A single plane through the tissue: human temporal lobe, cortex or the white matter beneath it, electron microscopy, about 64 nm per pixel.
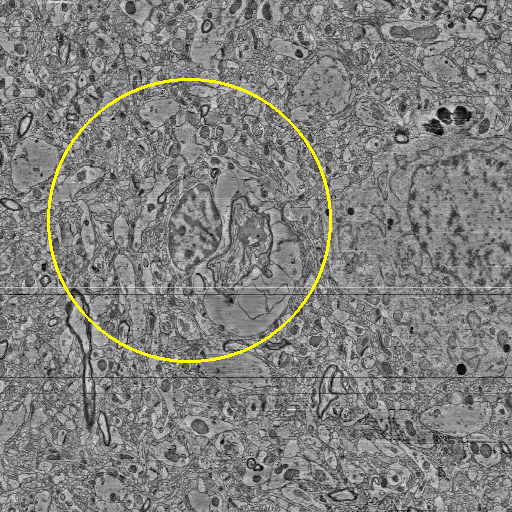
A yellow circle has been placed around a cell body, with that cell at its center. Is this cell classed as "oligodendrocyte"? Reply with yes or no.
No, it belongs to another class.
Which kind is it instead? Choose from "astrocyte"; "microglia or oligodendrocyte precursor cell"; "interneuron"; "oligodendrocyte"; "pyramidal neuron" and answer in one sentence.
This picture has a microglial cell or oligodendrocyte precursor cell at the centre of its ring.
